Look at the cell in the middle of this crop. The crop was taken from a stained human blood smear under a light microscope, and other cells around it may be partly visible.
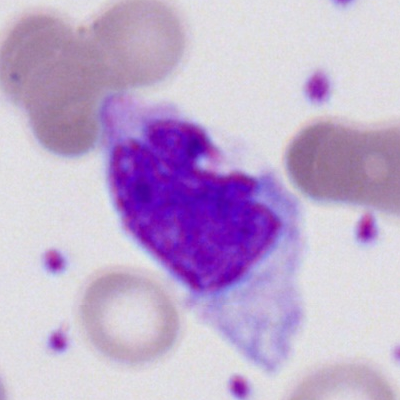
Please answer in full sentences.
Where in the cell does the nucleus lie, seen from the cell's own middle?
The nucleus sits off-centre, toward the upper left.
